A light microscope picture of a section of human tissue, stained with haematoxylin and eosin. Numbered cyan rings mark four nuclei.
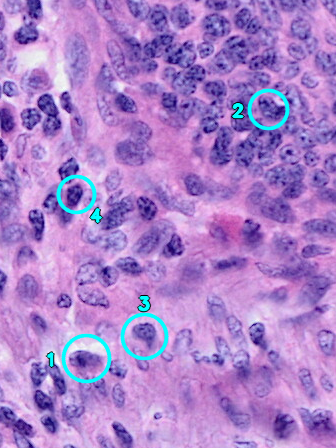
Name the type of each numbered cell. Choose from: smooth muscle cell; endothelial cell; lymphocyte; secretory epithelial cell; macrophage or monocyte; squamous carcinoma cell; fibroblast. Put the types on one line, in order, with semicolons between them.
lymphocyte; squamous carcinoma cell; lymphocyte; lymphocyte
